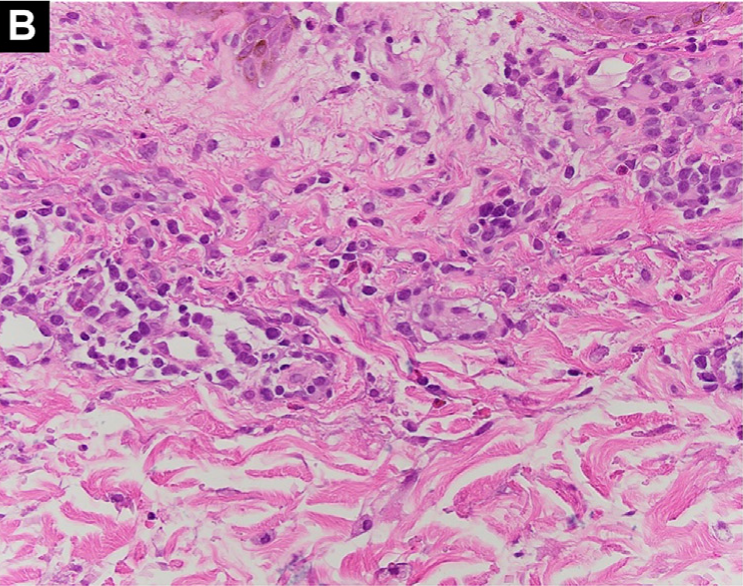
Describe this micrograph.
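At higher power the upper dermis is loose and pale, crowded with inflammatory cells: small round dark nuclei of lymphocytes mixed with cells having lobed nuclei. They cluster around small vessels, while the deeper dermis below shows separated pink collagen bundles.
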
